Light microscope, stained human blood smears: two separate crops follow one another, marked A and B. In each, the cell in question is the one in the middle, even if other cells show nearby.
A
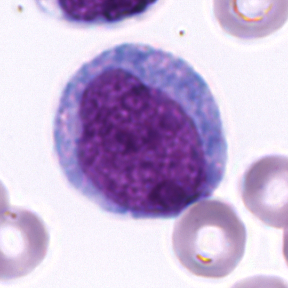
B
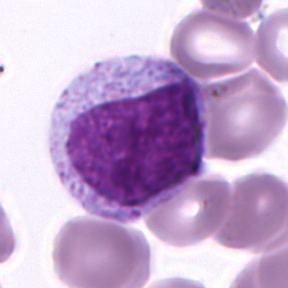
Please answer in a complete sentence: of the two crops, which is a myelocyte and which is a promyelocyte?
At the centre of crop A lies a promyelocyte, and at the centre of crop B lies a myelocyte.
